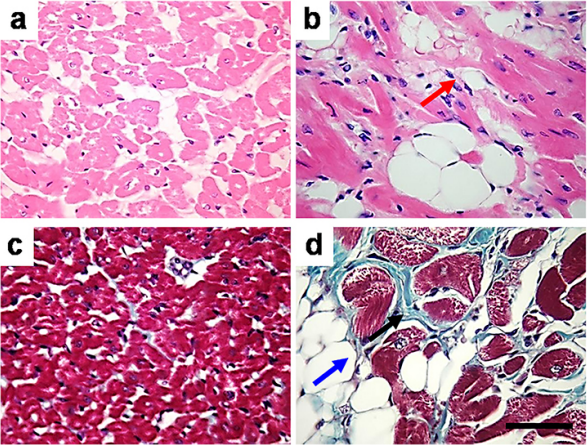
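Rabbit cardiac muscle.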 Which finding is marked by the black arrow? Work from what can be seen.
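In the lower right image, blue-green stained strands surround and separate the red muscle fibres. The black arrow points to one of these blue-green bands. On this evidence: fibrosis.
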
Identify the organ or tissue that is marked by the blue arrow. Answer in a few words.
adipose tissue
